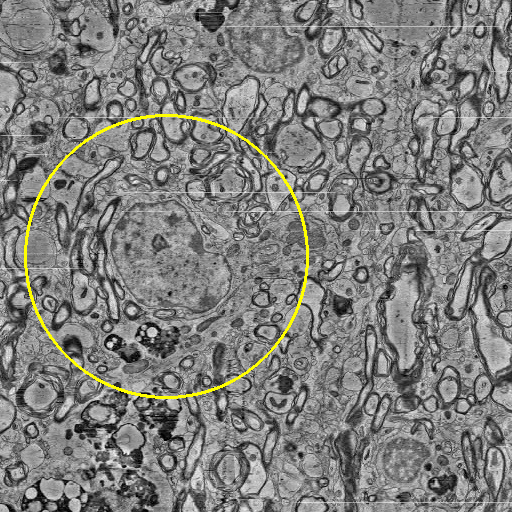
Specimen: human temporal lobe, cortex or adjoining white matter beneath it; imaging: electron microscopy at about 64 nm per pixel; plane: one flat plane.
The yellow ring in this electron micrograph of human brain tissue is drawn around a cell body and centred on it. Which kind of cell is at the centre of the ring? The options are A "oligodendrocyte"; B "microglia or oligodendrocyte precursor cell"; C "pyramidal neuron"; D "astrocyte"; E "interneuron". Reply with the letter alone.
B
